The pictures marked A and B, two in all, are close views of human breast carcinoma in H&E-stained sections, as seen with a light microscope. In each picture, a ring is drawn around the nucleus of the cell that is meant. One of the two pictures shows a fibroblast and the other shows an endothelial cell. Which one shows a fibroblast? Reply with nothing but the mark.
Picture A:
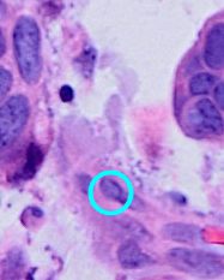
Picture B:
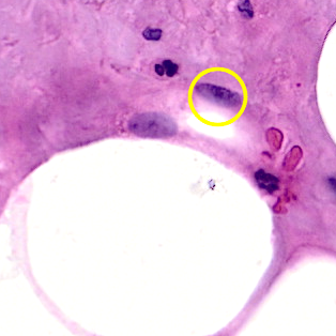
B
